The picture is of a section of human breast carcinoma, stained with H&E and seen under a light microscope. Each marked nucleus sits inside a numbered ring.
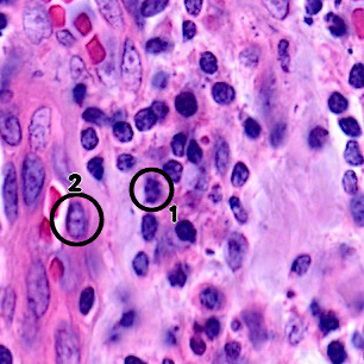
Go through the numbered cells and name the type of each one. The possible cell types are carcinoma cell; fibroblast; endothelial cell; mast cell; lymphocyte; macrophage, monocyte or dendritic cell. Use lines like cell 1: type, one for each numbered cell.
cell 1: lymphocyte
cell 2: endothelial cell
